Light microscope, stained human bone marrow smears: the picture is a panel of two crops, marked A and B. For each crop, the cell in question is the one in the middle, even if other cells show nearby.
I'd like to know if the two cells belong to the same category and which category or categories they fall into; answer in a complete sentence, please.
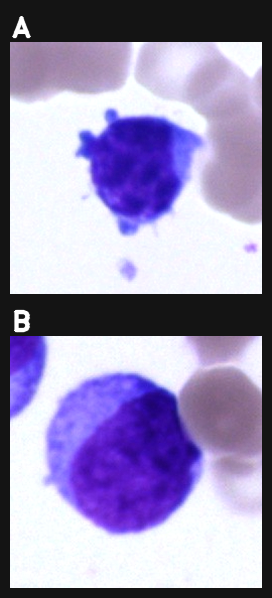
Yes, what both crops show is blasts.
